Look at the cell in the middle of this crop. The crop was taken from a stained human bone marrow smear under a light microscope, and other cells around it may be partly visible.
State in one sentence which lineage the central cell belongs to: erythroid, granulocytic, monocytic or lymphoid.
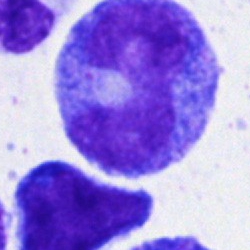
Lineage result for the cell in the middle of the crop: monocytic.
